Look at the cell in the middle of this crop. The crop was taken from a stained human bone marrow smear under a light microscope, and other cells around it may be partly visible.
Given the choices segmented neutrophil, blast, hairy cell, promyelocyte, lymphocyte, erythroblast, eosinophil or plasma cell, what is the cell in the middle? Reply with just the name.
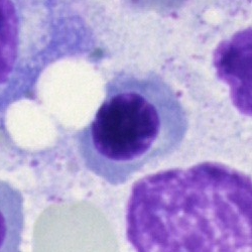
erythroblast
